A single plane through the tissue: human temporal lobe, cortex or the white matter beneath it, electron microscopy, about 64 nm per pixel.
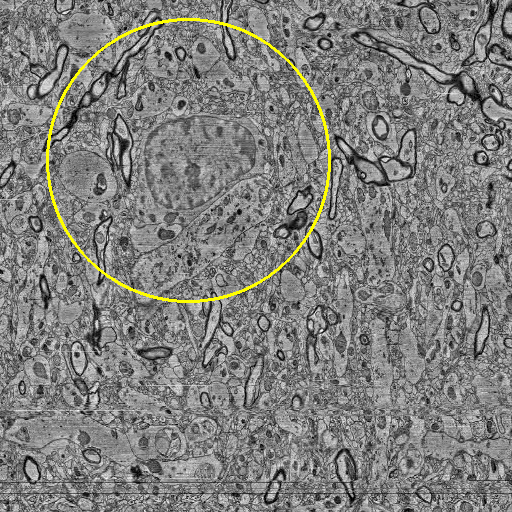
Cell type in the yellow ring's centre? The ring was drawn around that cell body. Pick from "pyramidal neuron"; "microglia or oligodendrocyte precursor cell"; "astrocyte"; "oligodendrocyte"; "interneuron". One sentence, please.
The ringed cell body is that of an oligodendrocyte.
